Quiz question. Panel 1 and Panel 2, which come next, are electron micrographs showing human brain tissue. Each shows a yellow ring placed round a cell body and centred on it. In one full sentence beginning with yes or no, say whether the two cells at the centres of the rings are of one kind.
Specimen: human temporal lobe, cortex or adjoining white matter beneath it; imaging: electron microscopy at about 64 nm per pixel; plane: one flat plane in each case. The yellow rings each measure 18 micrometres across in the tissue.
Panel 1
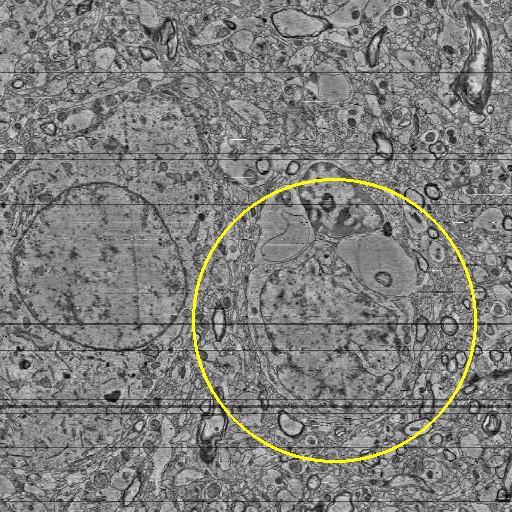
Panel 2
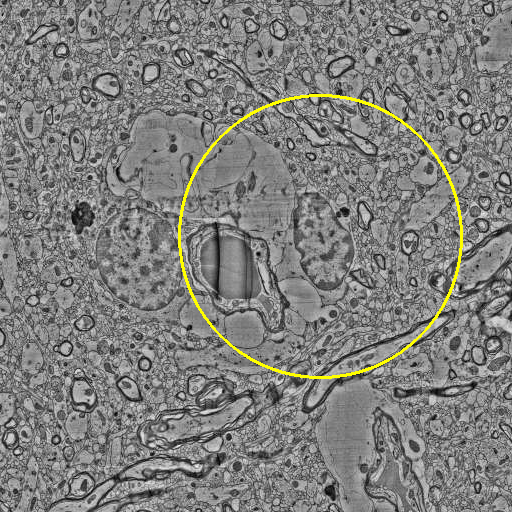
No, Panel 1 and Panel 2 show two kinds of cell at the centre of the ring.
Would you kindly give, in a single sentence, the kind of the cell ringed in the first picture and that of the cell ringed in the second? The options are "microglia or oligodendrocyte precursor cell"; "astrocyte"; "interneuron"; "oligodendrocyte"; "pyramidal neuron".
The second cell is a microglial cell or oligodendrocyte precursor cell, and the first cell is an interneuron.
